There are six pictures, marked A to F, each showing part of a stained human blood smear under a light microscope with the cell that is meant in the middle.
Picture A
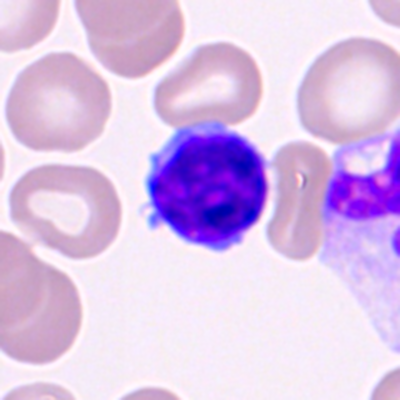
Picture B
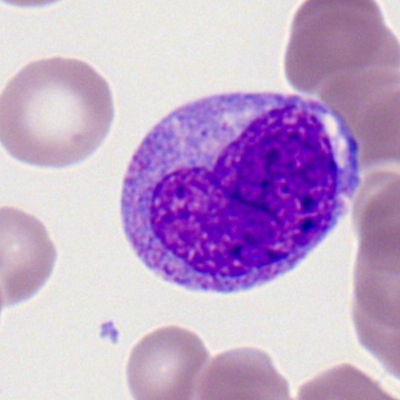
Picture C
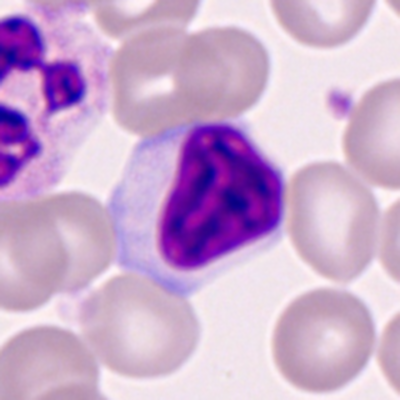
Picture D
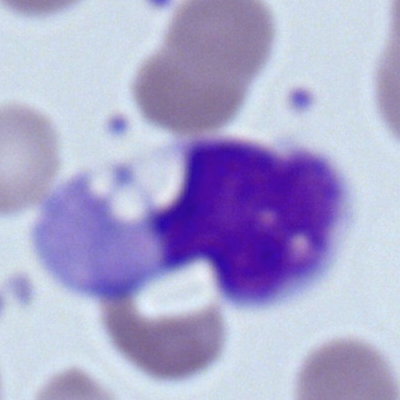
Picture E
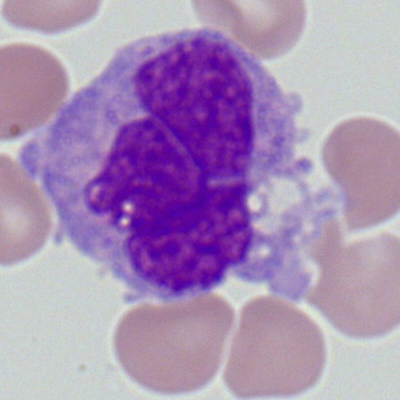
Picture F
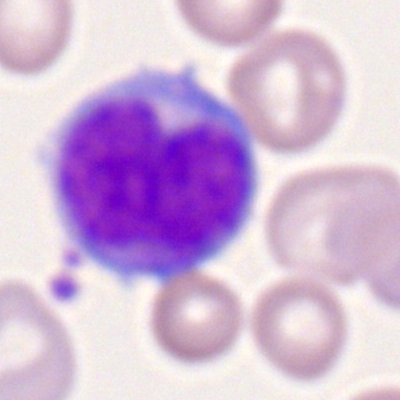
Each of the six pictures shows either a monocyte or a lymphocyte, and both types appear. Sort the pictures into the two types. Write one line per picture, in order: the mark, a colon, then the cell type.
A: lymphocyte
B: monocyte
C: lymphocyte
D: monocyte
E: monocyte
F: monocyte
